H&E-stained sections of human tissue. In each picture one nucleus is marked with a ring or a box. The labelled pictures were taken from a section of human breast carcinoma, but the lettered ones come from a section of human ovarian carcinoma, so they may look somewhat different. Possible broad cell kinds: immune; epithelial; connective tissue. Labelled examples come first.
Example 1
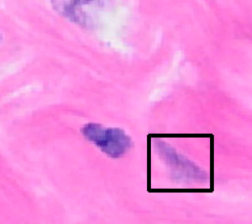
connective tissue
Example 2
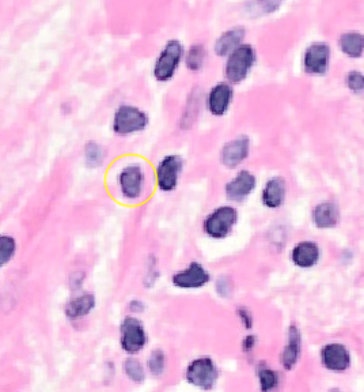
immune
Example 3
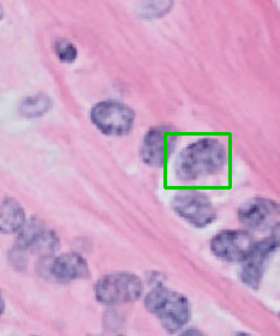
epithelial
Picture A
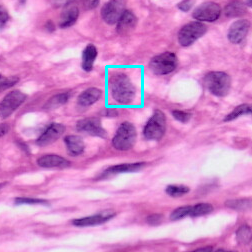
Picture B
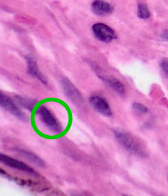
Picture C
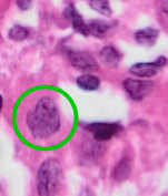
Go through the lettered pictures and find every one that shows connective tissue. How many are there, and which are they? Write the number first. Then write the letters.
1, namely B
